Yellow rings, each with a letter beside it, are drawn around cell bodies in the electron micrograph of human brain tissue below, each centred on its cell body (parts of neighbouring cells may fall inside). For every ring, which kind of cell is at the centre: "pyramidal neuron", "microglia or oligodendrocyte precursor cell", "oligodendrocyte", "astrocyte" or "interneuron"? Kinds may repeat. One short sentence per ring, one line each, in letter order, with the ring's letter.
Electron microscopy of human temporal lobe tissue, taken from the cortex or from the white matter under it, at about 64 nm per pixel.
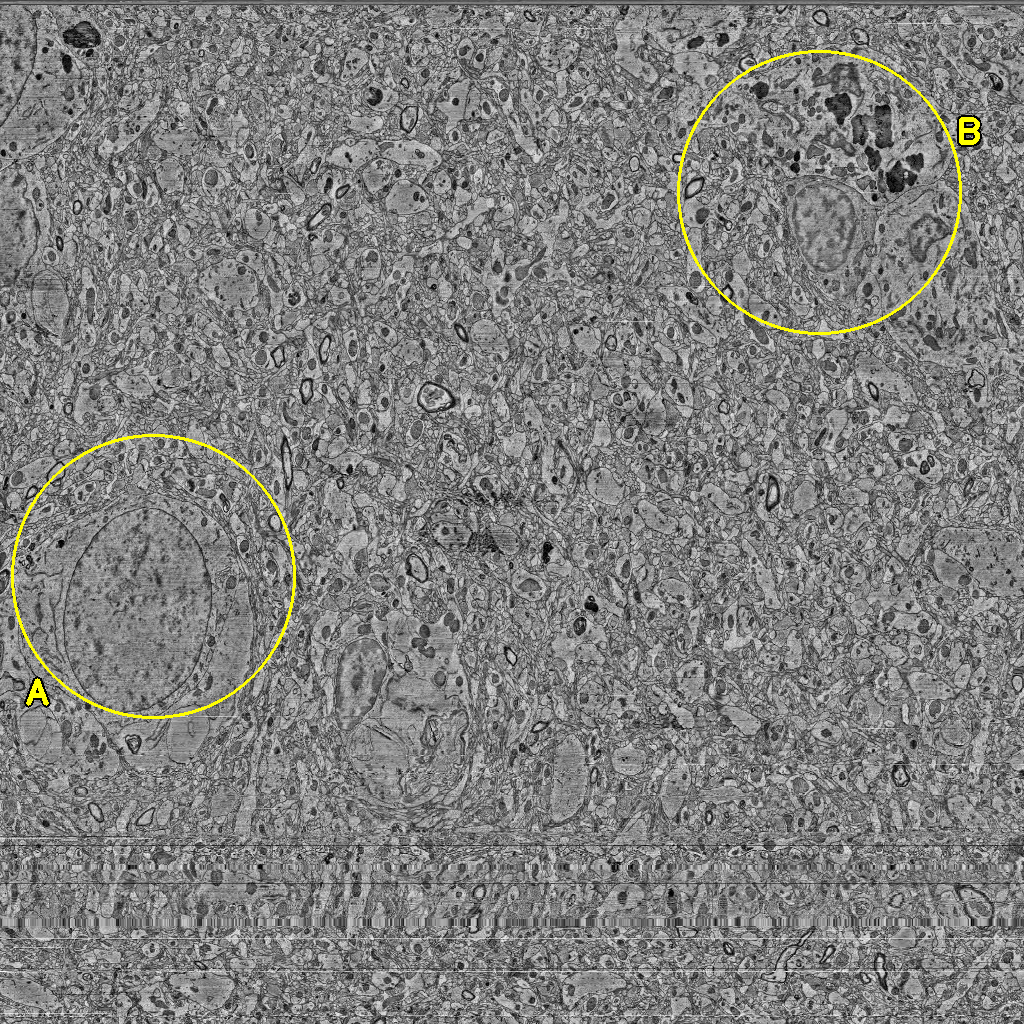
The cell in ring A is a pyramidal neuron.
The cell in ring B is an oligodendrocyte.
